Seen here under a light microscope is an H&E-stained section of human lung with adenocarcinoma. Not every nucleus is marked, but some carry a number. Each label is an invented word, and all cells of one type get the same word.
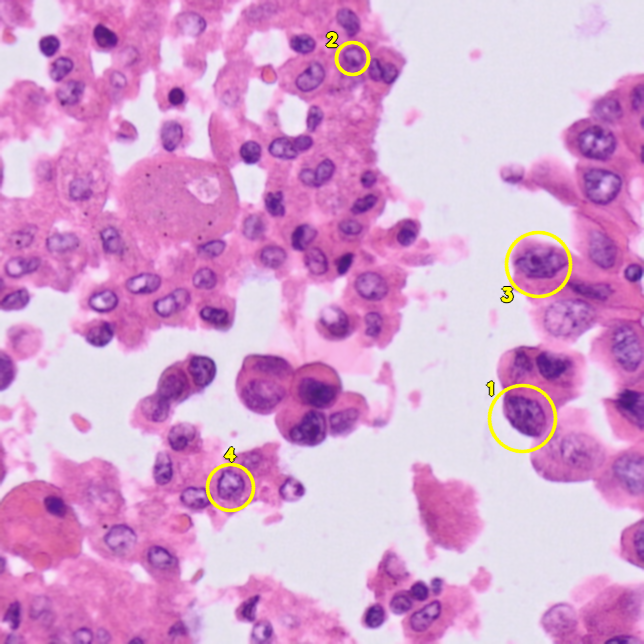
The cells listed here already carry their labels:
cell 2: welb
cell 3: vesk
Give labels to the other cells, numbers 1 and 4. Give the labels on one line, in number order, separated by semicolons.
vesk; welb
